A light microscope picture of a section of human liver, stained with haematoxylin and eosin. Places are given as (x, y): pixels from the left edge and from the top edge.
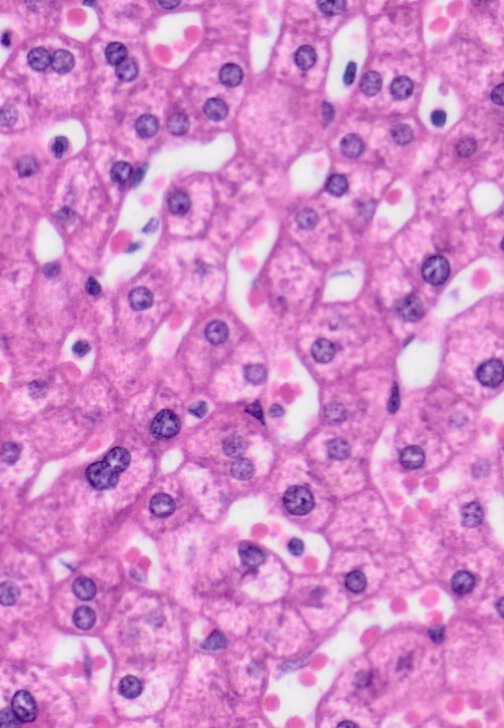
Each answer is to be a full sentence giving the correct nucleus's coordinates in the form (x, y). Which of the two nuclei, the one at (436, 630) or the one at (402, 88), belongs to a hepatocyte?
Housed in a hepatocyte is the nucleus at (402, 88), not the other one.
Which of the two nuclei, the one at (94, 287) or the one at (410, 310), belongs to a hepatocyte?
The nucleus of the pair that lies within a hepatocyte is at (410, 310).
